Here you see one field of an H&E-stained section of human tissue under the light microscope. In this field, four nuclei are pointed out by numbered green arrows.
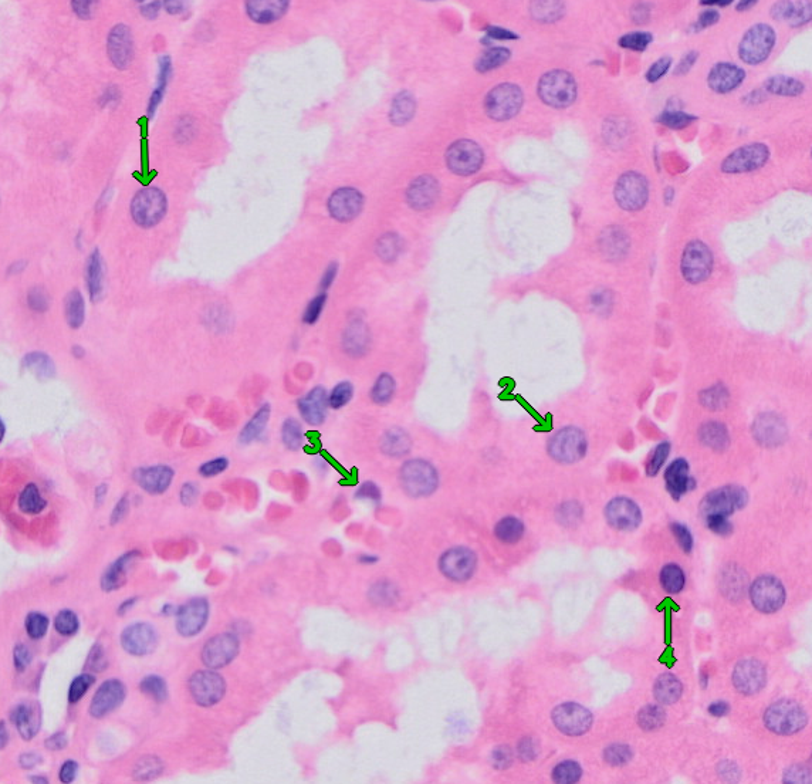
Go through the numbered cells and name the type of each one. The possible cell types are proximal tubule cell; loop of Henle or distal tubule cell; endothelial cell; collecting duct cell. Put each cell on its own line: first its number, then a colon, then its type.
1: proximal tubule cell
2: proximal tubule cell
3: endothelial cell
4: proximal tubule cell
